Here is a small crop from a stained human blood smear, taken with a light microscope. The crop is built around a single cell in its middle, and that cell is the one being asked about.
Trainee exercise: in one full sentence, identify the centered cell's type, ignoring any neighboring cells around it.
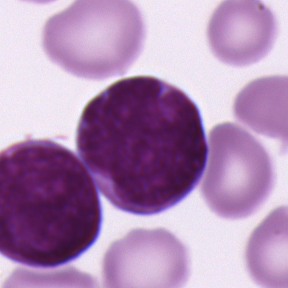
At the crop's centre, the cell is a blast.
